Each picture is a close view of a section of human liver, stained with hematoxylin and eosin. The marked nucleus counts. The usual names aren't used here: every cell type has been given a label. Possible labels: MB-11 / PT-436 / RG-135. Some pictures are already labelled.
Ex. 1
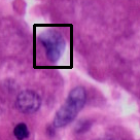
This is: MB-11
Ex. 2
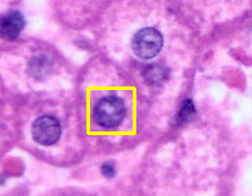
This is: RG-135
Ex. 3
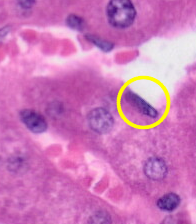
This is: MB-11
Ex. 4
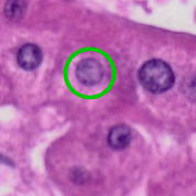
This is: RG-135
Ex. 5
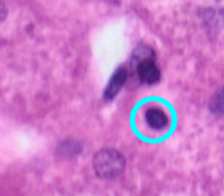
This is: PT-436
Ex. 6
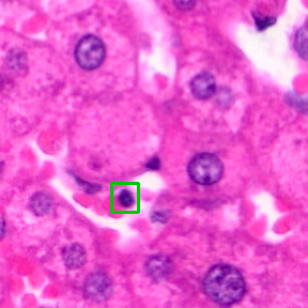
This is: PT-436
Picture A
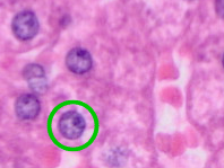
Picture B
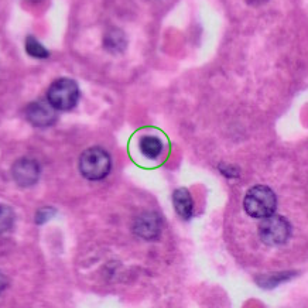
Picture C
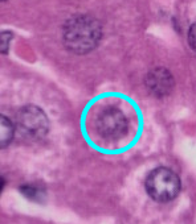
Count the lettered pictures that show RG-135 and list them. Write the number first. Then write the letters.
Count: 2 (A, C)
